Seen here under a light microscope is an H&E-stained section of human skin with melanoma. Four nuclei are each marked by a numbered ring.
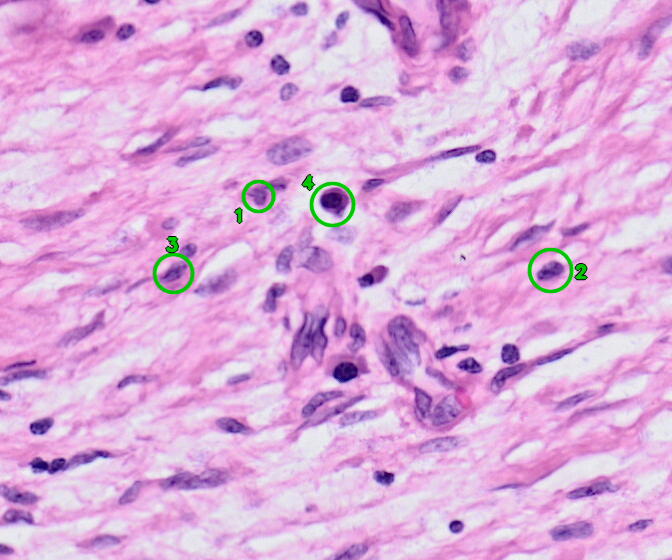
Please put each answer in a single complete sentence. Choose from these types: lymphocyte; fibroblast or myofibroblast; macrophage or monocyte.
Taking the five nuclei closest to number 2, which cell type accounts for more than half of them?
Of the five nuclei nearest to number 2, most belong to fibroblasts or myofibroblasts.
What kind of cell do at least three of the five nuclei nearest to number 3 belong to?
Around number 3, most of the five nearest nuclei are those of fibroblasts or myofibroblasts.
